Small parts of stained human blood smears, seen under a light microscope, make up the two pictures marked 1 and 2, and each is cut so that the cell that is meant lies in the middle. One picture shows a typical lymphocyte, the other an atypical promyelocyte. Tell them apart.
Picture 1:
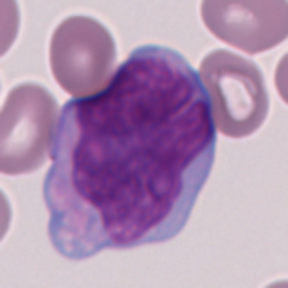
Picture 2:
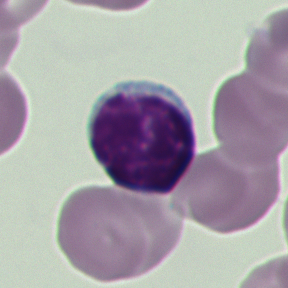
1: atypical promyelocyte
2: typical lymphocyte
